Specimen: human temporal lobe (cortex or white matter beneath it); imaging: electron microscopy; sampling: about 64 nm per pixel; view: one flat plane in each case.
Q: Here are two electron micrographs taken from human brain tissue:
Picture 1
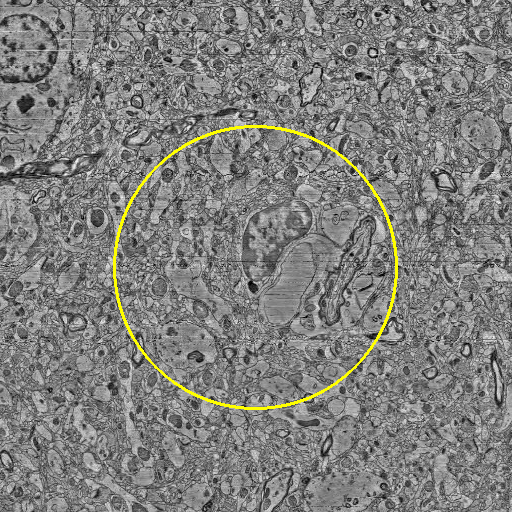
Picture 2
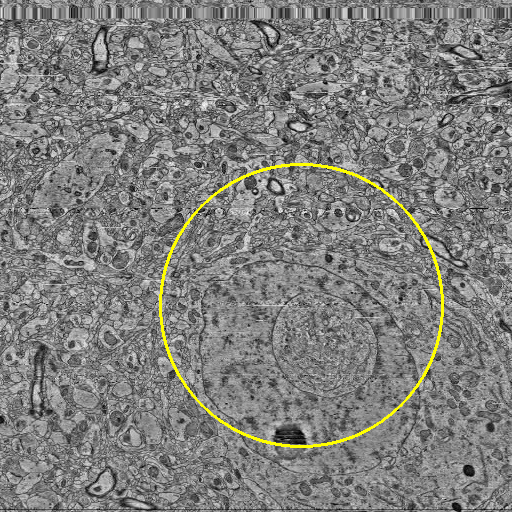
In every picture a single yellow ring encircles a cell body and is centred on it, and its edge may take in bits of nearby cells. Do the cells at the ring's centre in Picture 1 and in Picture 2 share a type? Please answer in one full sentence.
No, the cells at the ring's centre in Picture 1 and Picture 2 are of two types.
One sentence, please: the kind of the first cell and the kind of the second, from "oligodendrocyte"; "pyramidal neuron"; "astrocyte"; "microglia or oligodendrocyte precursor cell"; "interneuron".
The ring in the first picture surrounds a microglial cell or oligodendrocyte precursor cell, and the ring in the second surrounds an interneuron.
